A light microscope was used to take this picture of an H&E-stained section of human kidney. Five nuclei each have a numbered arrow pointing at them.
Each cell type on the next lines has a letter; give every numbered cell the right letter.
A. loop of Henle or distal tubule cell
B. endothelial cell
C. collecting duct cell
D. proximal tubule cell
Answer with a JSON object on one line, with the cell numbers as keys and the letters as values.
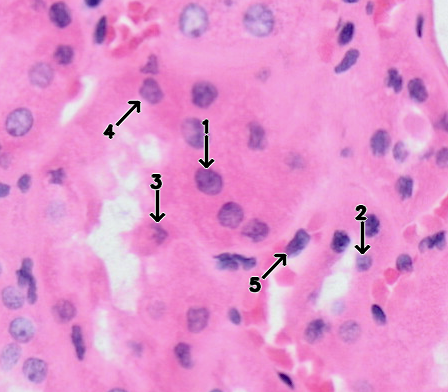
{"1": "D", "2": "A", "3": "D", "4": "D", "5": "B"}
